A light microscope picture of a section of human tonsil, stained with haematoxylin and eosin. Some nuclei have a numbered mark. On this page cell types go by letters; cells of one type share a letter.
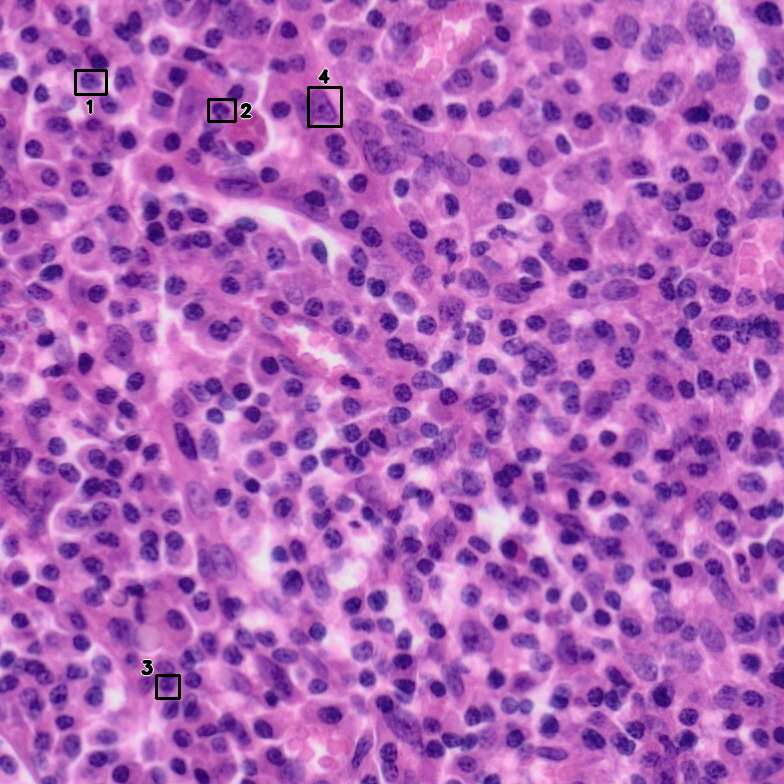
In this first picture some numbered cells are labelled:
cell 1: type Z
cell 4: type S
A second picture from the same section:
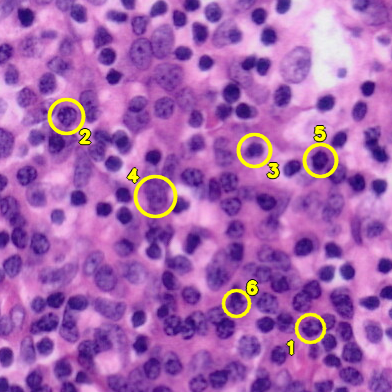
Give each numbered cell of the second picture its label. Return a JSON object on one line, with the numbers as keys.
{"1": "type Z", "2": "type Z", "3": "type S", "4": "type S", "5": "type Z", "6": "type Z"}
